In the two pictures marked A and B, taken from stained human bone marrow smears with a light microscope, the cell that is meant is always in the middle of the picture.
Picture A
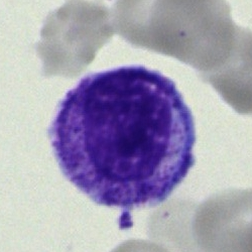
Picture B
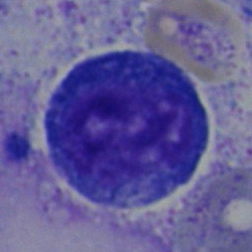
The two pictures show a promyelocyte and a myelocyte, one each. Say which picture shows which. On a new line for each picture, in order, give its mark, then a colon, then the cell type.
A: myelocyte
B: promyelocyte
